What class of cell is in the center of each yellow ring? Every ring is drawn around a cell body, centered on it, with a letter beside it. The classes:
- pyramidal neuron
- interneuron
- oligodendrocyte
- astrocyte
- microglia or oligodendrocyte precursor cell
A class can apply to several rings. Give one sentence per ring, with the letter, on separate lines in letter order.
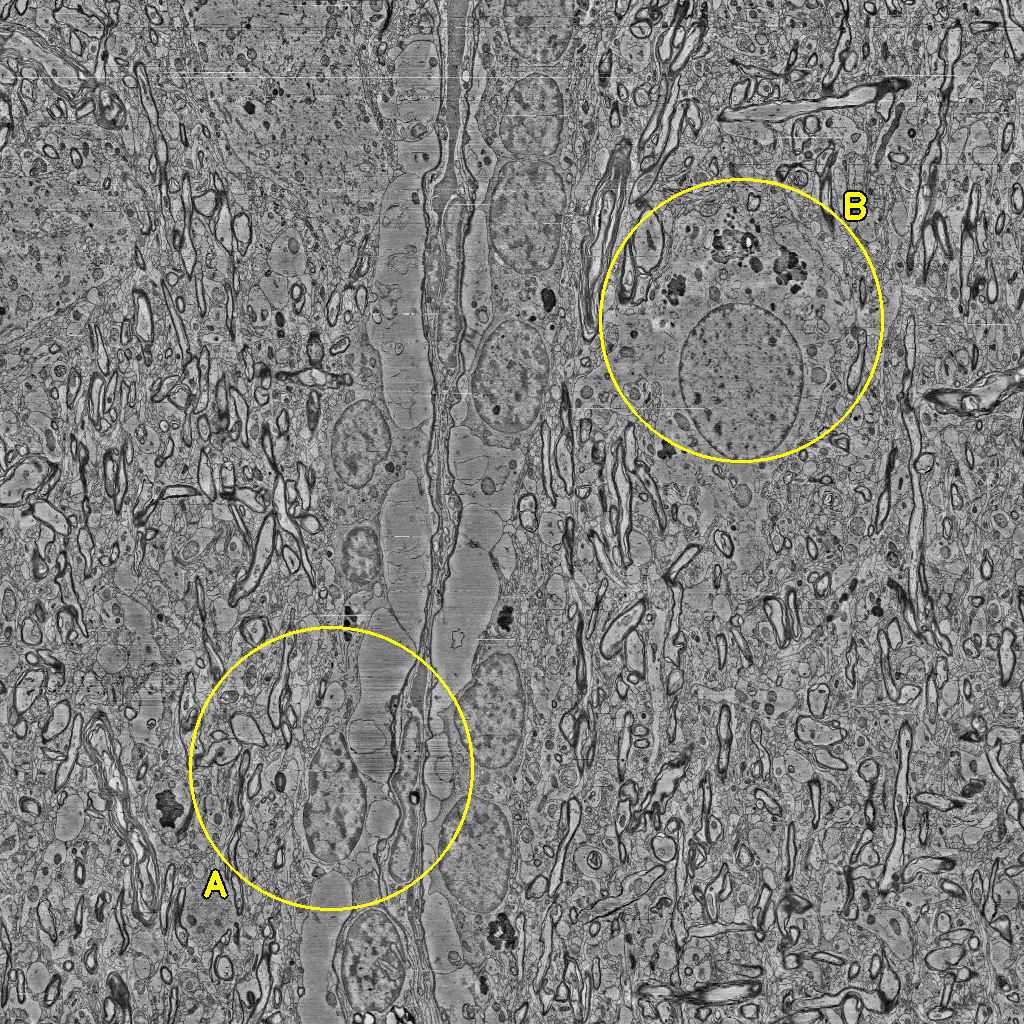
Ring A holds a microglial cell or oligodendrocyte precursor cell at its center.
Ring B holds an astrocyte at its center.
